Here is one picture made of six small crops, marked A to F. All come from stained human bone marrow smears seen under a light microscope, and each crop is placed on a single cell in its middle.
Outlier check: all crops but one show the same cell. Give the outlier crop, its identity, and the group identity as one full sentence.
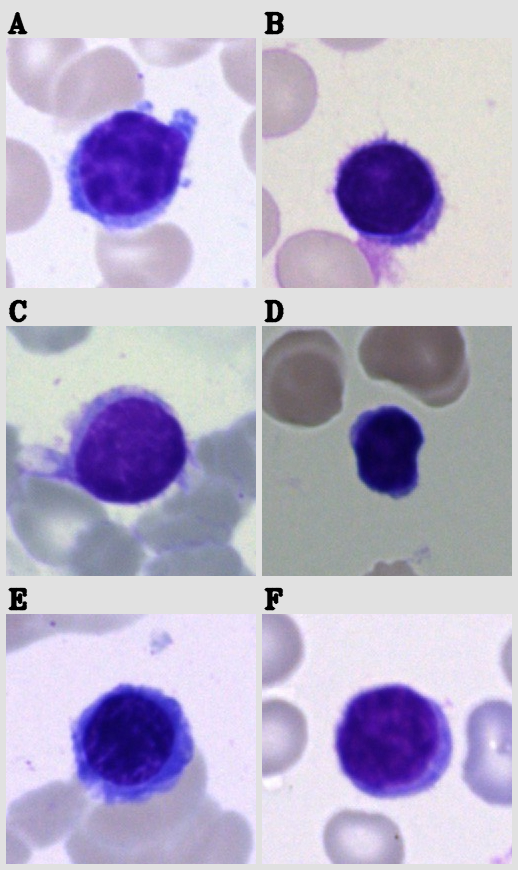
Of the crops, all show lymphocytes save crop E, which shows a normoblast.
